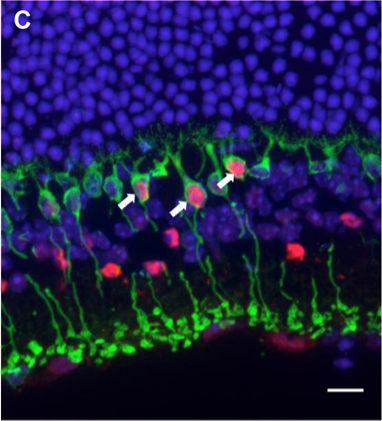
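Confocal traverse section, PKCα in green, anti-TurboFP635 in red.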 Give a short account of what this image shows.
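This is a cross-section of retina in which green-filled bipolar neurons of the rod type span the inner nuclear layer. At the top lies a thick band of tightly packed round blue nuclei, the outer nuclear layer. Below it, in the upper inner nuclear layer, sit the green cell bodies, each with a small tuft of dendrites reaching upward into the thin outer plexiform layer. Long slender axons run straight down and end in swollen green terminals at the bottom. Several of these somata also contain red, and other red cell bodies lie scattered lower in the inner nuclear layer without green.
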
